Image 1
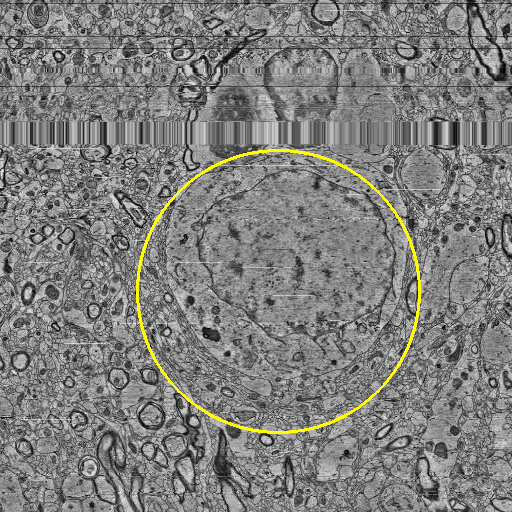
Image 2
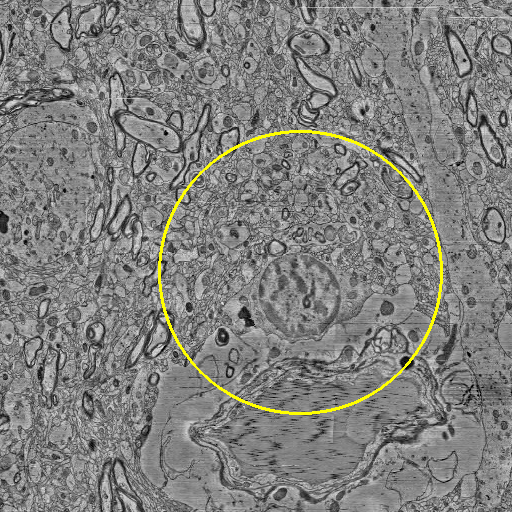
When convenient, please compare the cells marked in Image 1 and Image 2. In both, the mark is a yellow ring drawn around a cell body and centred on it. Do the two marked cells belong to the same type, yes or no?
no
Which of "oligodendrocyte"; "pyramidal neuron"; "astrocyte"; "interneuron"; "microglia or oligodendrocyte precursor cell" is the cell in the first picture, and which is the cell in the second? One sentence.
The two differ: the first cell is an interneuron and the second is an oligodendrocyte.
